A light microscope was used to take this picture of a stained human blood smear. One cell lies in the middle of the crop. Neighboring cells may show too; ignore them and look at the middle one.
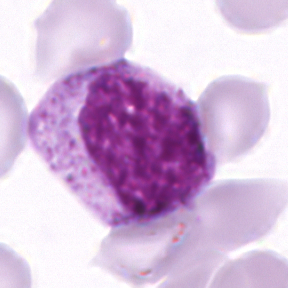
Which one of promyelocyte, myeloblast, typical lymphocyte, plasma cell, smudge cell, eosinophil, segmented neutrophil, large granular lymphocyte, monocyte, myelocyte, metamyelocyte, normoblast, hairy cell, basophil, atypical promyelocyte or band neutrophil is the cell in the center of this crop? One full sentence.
The cell occupying the middle of the crop is a myelocyte.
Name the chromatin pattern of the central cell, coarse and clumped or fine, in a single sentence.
The chromatin of this one is coarsely clumped.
